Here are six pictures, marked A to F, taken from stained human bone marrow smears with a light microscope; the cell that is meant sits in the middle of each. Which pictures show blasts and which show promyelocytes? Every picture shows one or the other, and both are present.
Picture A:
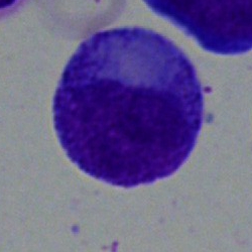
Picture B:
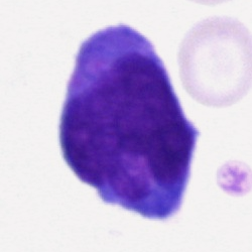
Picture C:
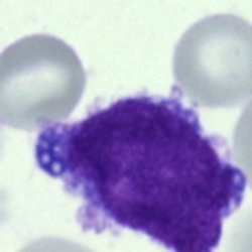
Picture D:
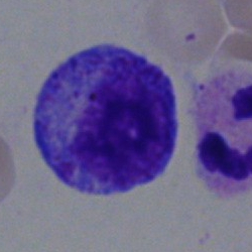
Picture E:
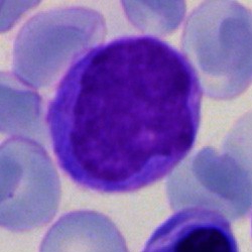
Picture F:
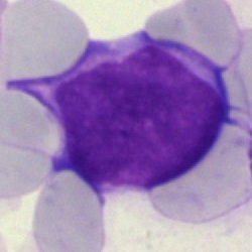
A: promyelocyte
B: blast
C: blast
D: promyelocyte
E: blast
F: blast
